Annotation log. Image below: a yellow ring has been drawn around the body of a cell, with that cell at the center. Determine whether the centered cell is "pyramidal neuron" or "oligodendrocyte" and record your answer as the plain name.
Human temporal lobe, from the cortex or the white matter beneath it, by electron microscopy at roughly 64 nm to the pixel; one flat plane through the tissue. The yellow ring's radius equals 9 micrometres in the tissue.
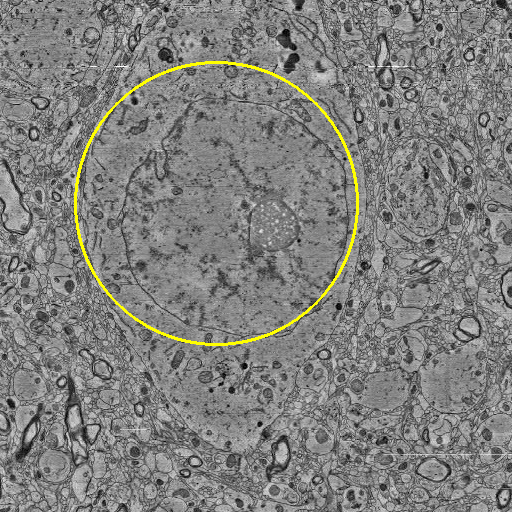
pyramidal neuron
